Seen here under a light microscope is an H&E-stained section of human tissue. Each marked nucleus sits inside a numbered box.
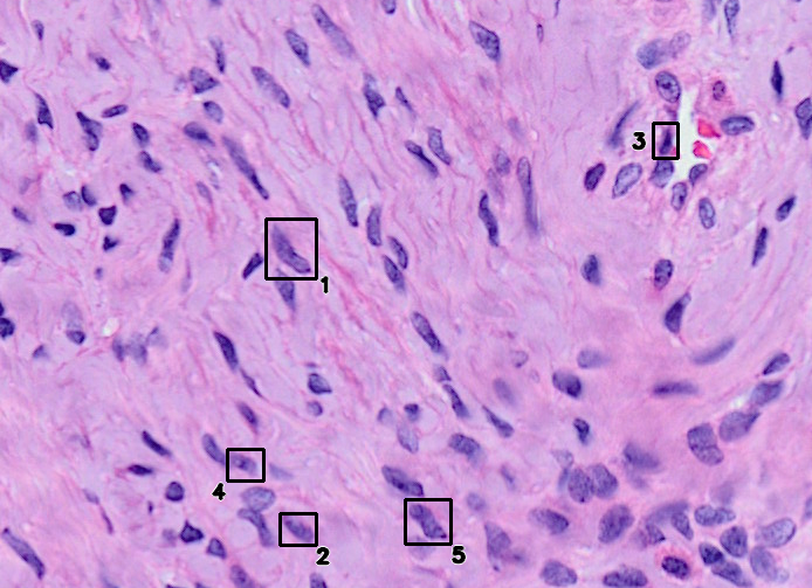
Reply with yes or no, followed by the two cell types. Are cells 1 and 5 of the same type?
Yes, the pair formed by cells 1 and 5 consists of two fibroblasts.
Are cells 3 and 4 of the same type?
No, cell number 3 is an endothelial cell, and cell number 4 is a smooth muscle cell.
